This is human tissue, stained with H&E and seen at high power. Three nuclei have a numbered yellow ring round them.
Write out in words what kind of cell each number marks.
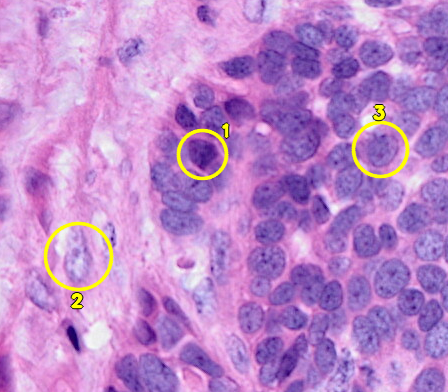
Cells 1 and 3 are carcinoma cells. Cell 2 is a fibroblast.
